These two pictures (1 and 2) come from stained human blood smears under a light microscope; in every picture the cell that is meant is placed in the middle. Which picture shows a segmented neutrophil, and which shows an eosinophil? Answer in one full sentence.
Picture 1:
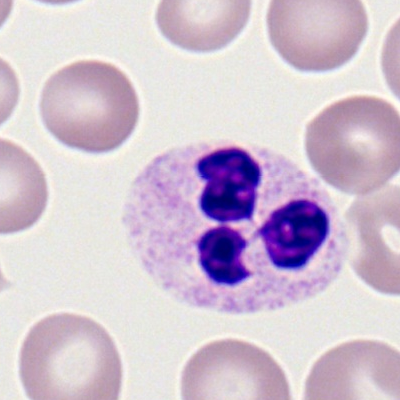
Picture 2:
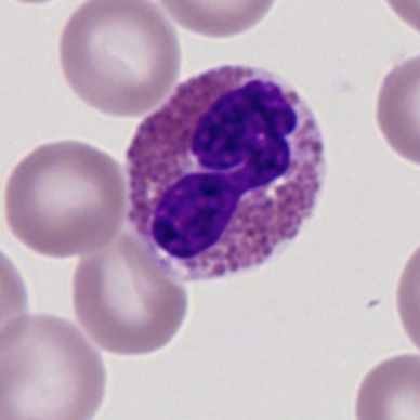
Picture 1 shows a segmented neutrophil and picture 2 shows an eosinophil.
